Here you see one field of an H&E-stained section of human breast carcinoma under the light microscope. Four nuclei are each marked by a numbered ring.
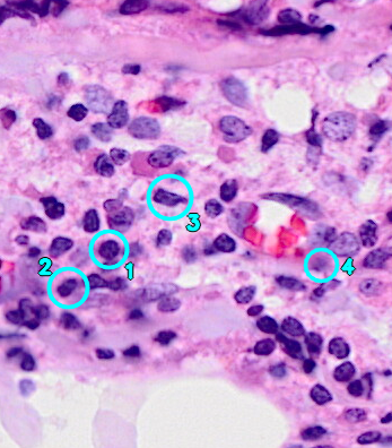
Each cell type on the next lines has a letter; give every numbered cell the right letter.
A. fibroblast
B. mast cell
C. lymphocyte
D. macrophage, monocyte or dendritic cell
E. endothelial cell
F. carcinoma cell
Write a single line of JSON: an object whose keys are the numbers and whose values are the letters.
{"1": "C", "2": "C", "3": "C", "4": "E"}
